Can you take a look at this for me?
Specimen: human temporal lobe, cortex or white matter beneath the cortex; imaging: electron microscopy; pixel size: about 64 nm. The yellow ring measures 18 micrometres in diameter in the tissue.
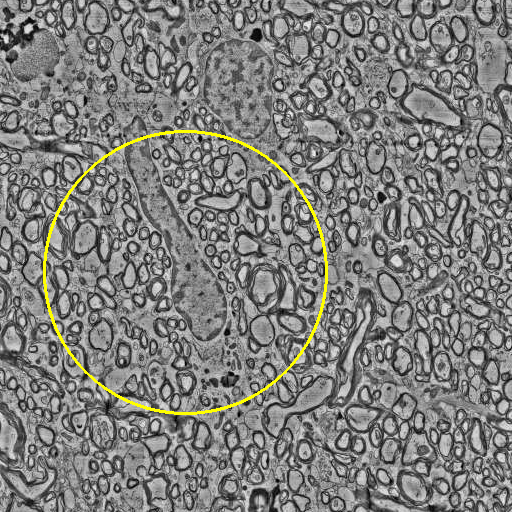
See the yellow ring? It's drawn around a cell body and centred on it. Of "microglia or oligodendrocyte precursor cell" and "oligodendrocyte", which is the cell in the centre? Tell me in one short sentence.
The one in the centre is a microglial cell or oligodendrocyte precursor cell.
